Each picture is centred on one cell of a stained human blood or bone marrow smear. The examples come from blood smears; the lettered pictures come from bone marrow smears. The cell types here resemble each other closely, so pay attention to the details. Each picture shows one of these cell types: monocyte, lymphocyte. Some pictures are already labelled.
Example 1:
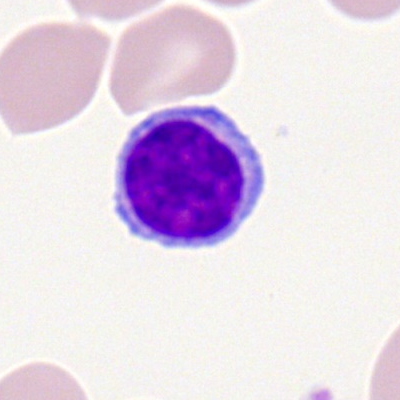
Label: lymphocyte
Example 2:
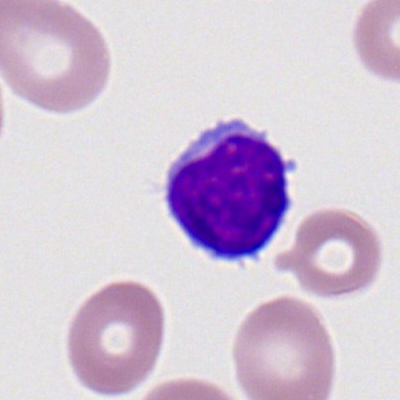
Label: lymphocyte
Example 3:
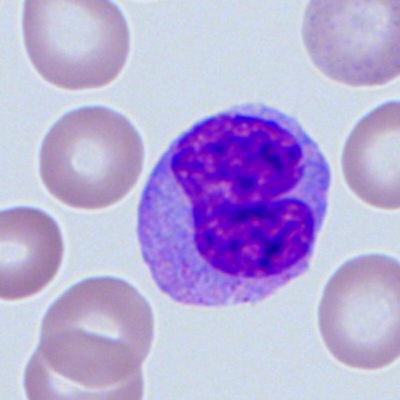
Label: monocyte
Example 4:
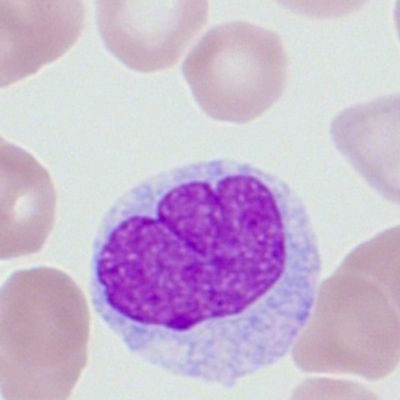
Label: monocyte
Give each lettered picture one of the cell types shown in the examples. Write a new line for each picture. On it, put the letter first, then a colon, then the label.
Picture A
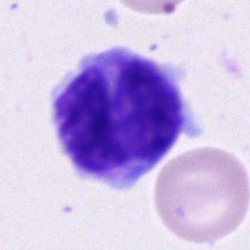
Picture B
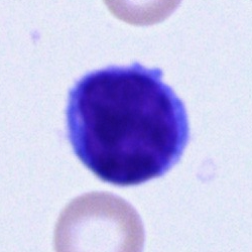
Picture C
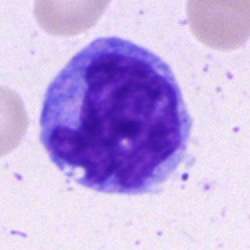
A: monocyte
B: lymphocyte
C: monocyte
